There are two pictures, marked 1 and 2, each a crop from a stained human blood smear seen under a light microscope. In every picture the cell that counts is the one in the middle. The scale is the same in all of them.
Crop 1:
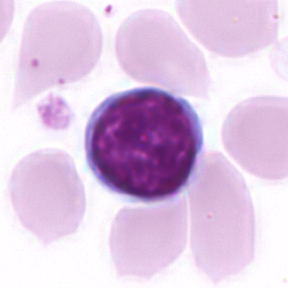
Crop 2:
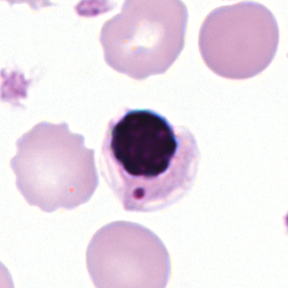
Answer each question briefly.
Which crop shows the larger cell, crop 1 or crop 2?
1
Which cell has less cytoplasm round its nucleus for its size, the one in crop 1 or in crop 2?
1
